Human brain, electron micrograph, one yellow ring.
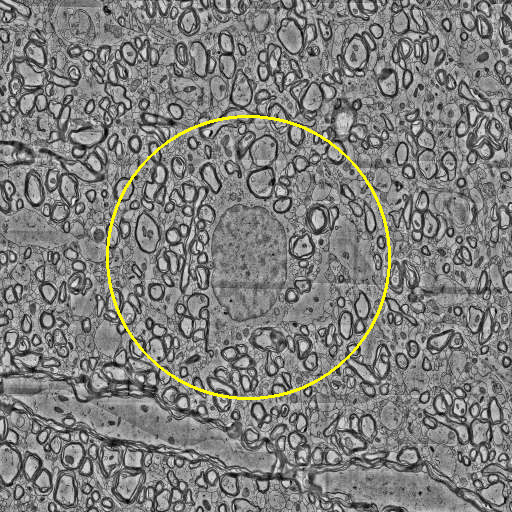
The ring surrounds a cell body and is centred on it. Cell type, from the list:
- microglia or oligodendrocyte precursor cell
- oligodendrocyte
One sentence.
The yellow ring circles an oligodendrocyte.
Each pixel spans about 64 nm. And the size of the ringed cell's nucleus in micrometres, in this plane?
In this plane the nucleus is about 7 micrometres by 6.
